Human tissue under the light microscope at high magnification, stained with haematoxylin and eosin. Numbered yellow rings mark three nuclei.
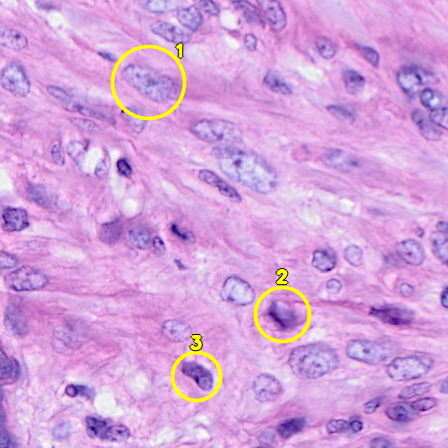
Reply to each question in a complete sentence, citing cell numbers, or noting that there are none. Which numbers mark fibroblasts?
The identity of cells 1 and 2: they are fibroblasts.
